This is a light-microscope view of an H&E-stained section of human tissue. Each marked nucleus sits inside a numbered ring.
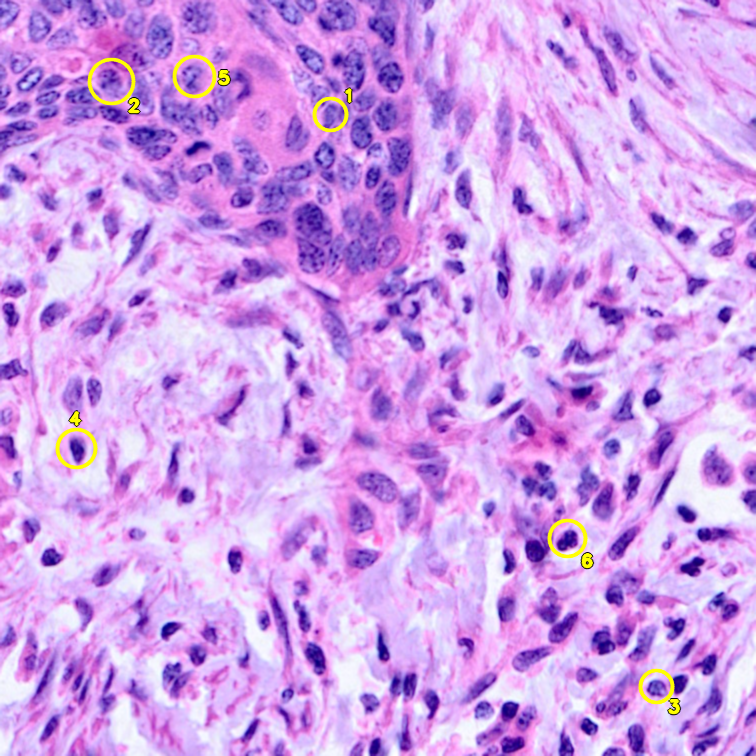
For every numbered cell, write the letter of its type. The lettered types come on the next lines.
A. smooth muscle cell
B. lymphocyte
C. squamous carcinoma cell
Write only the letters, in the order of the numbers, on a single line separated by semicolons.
C; C; B; B; C; B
